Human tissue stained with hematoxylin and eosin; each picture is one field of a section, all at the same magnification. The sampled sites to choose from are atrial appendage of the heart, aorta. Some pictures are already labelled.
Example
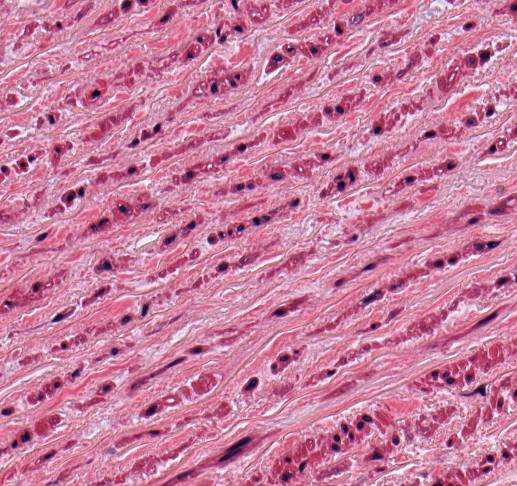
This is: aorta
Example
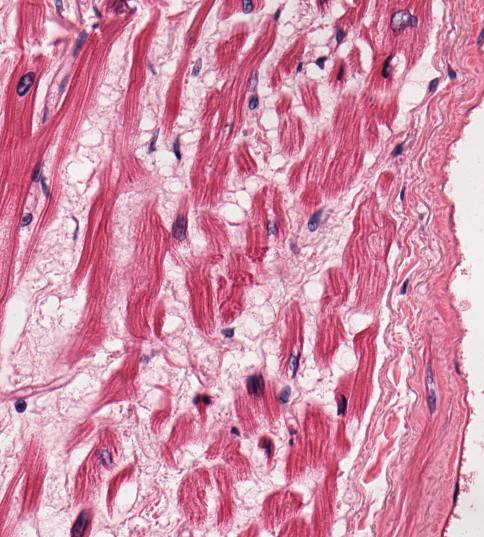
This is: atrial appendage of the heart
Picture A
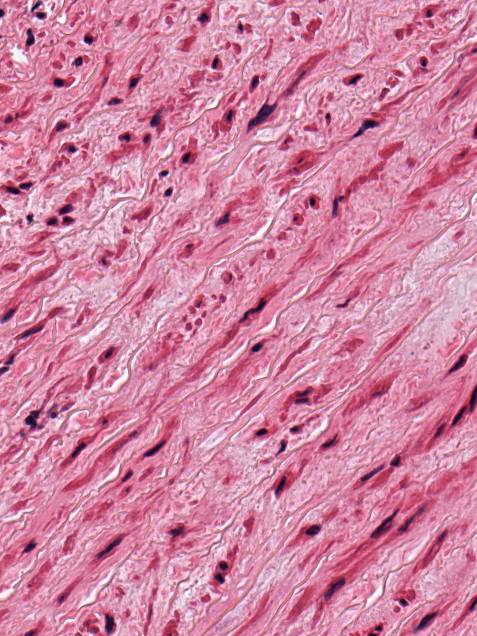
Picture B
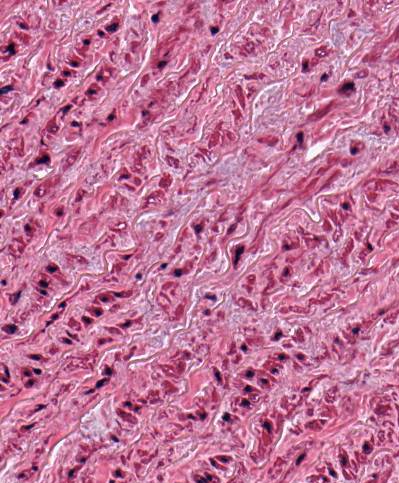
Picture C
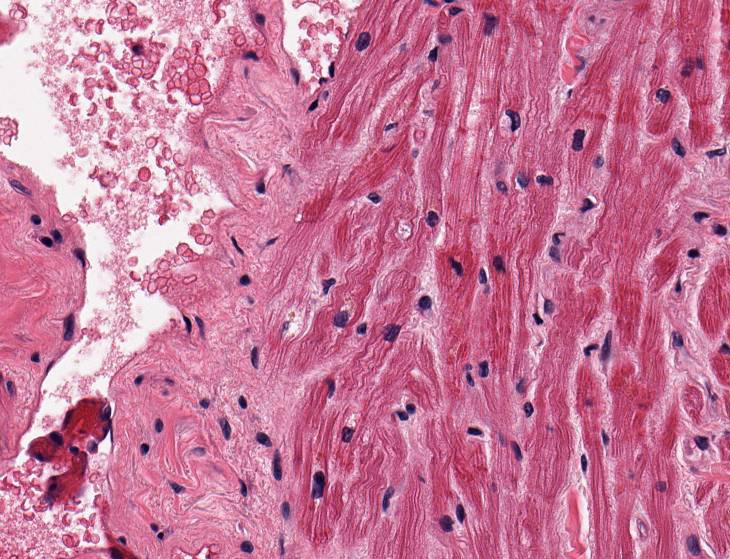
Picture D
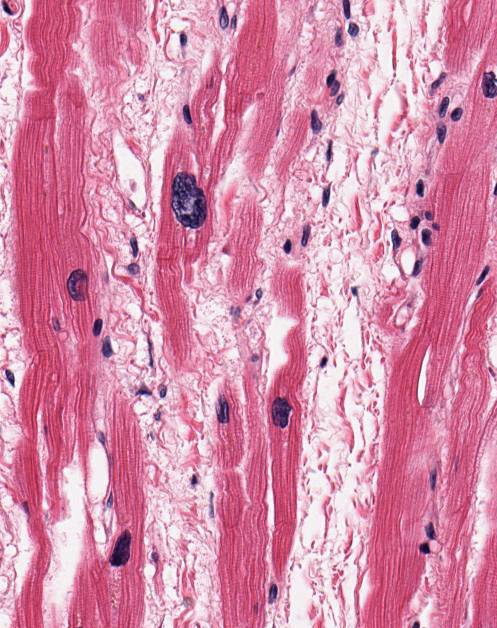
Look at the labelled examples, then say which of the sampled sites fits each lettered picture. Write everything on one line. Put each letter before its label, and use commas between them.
A aorta, B aorta, C atrial appendage of the heart, D atrial appendage of the heart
